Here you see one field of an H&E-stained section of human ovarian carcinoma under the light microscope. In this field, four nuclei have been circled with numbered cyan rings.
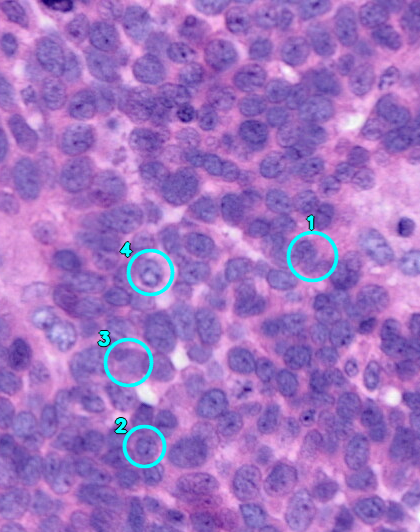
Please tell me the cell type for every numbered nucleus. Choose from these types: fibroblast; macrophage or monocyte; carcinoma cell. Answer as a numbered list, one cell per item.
1. carcinoma cell
2. carcinoma cell
3. carcinoma cell
4. macrophage or monocyte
